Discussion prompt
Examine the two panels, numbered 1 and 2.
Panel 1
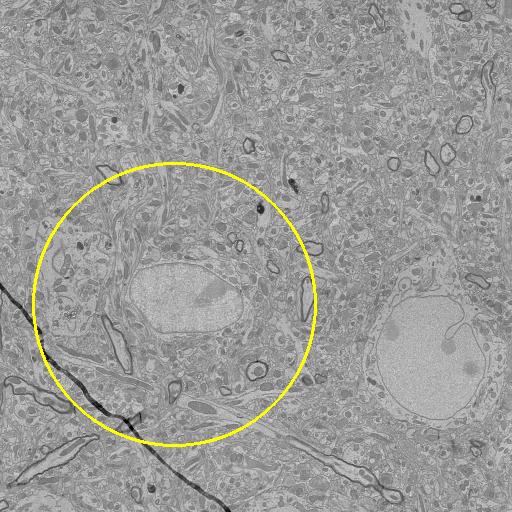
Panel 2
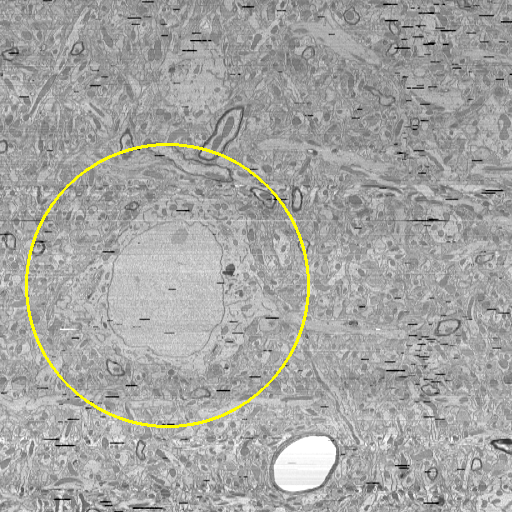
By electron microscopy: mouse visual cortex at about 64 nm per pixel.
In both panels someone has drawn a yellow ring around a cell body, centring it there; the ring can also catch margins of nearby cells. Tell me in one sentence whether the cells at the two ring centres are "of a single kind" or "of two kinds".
Taken together, the two cells centred in the rings of Panels 1 and 2 are of two kinds.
